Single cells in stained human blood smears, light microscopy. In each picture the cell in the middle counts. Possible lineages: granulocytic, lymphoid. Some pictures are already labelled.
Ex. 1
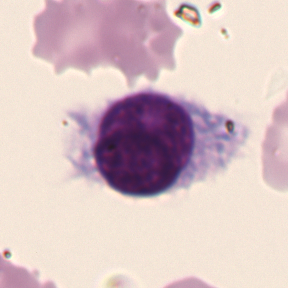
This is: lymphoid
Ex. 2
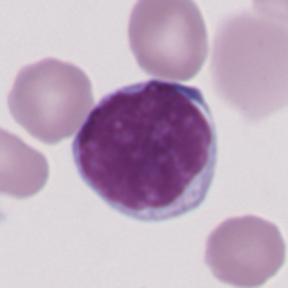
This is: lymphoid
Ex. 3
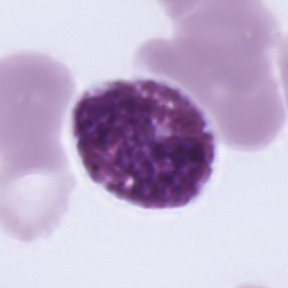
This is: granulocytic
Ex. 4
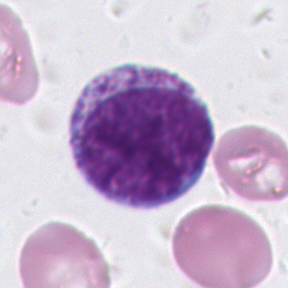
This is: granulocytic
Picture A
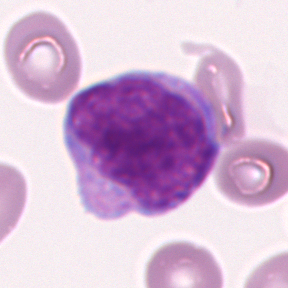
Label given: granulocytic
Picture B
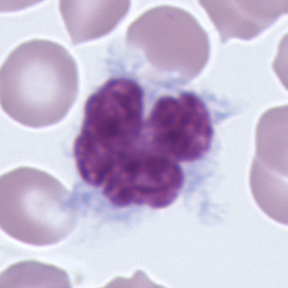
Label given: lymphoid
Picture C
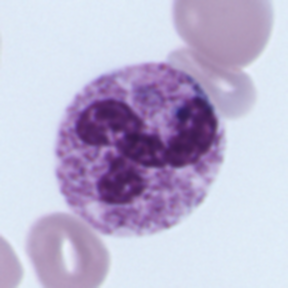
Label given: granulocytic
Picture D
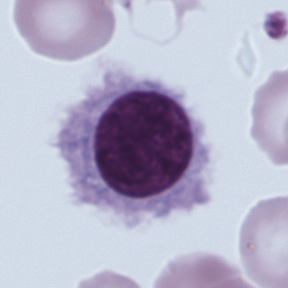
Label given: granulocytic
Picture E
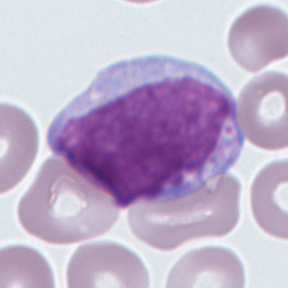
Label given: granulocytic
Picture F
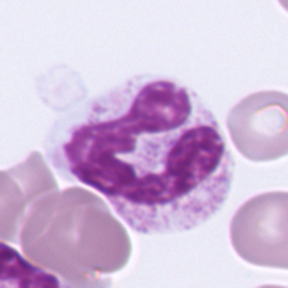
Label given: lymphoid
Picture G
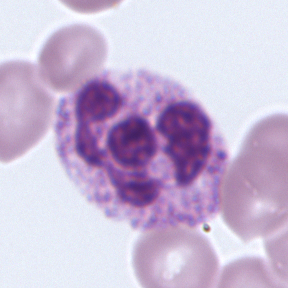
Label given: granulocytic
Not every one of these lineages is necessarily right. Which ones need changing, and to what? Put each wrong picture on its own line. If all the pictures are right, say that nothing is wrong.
D is labelled granulocytic; correct label: lymphoid
F is labelled lymphoid; correct label: granulocytic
